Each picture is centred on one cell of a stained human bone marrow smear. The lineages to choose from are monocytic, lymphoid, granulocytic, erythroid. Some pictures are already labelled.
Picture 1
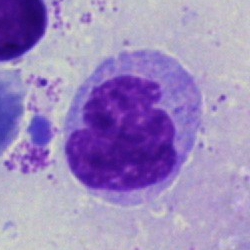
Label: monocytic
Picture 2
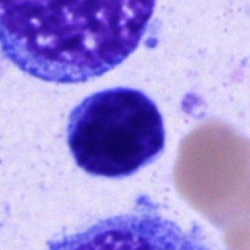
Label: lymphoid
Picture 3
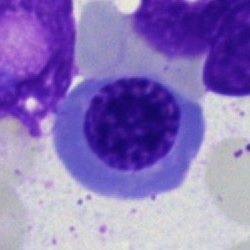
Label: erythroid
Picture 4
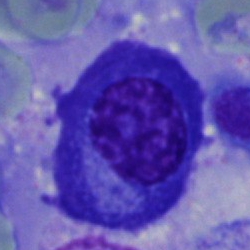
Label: lymphoid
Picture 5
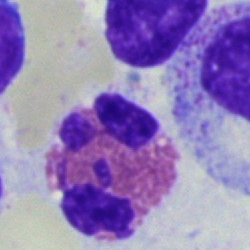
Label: granulocytic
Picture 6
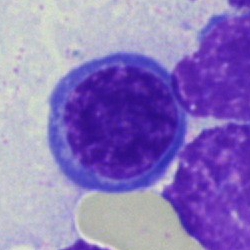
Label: erythroid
